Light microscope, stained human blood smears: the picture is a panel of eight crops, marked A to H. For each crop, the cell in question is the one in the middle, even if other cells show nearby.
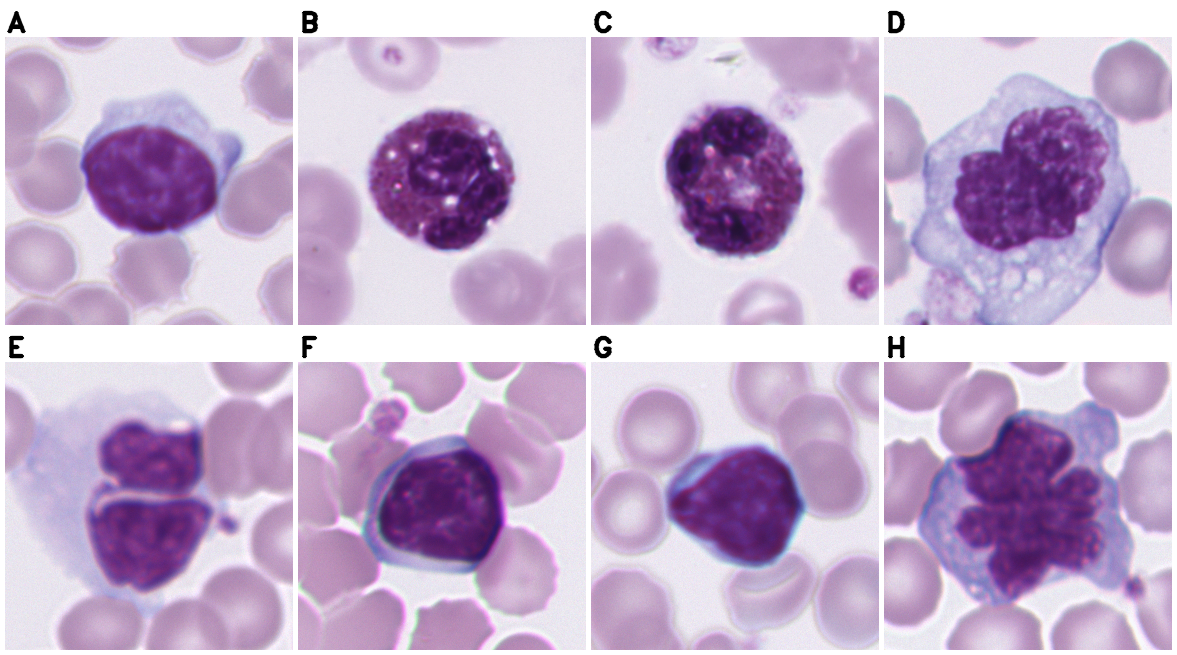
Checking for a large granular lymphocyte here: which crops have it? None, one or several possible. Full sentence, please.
No crop in this set shows a large granular lymphocyte.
